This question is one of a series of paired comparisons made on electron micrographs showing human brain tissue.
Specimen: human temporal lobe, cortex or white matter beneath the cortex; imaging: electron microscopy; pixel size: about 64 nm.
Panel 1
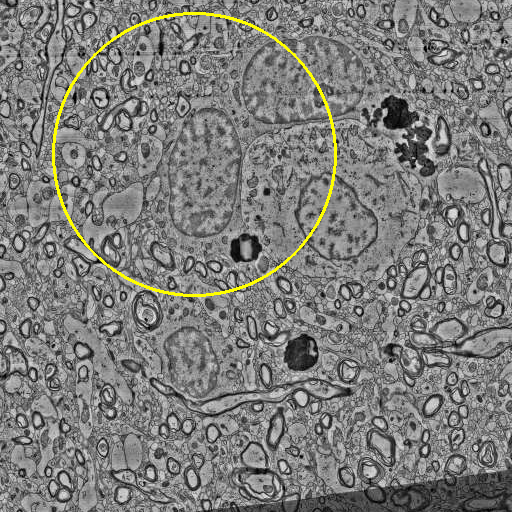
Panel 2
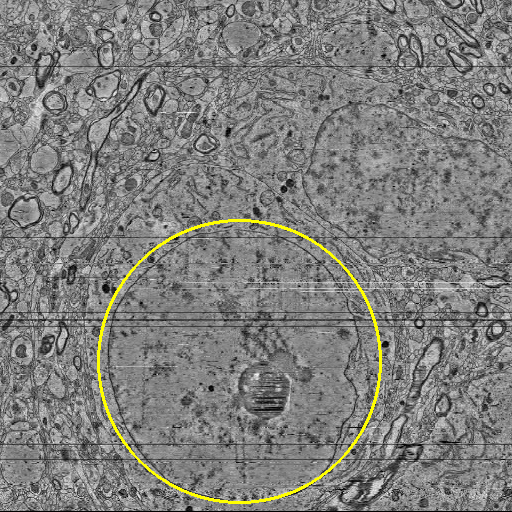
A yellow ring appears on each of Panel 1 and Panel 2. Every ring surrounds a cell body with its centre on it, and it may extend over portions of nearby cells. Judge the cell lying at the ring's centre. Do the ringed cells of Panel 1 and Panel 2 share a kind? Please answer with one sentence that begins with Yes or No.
No, the ring-centre cell in Panel 1 and the one in Panel 2 are of two kinds.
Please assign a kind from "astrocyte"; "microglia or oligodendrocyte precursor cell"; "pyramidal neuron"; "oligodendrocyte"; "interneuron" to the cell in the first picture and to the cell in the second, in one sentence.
In the first picture we have an oligodendrocyte, and in the second, a pyramidal neuron.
